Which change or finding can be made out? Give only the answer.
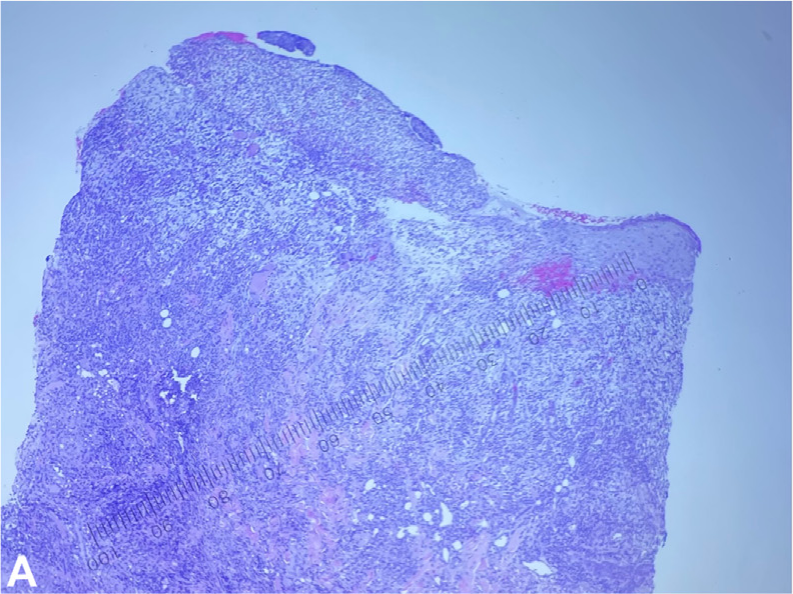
Dense diffuse dermal infiltrate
